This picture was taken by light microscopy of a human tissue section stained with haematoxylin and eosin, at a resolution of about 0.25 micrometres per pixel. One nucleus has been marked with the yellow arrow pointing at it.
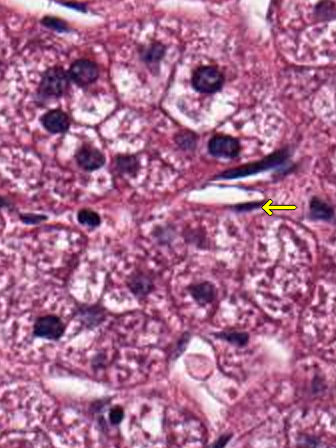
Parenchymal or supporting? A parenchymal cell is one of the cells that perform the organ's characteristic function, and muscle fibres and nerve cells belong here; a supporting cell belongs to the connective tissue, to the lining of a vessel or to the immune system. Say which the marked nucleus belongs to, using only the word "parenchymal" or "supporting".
supporting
